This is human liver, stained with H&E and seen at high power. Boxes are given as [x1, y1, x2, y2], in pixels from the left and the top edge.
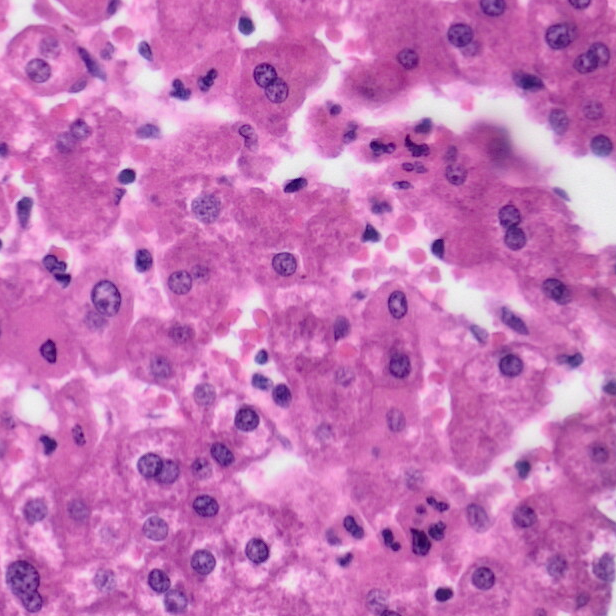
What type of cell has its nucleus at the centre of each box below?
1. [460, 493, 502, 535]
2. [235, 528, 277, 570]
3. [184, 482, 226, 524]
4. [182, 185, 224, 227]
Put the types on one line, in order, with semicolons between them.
Kupffer cell; hepatocyte; hepatocyte; hepatocyte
